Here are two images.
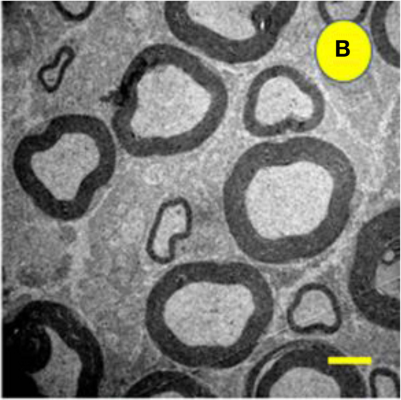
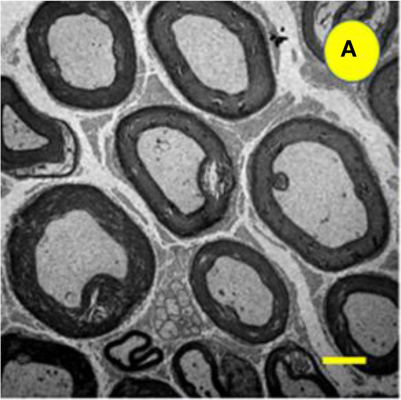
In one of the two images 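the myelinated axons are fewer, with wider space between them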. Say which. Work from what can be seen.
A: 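First image: myelinated fibers lie scattered with broad grey areas between them. Second image: myelinated fibers lie close together, separated by narrow spaces. That points to this answer: the first image.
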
